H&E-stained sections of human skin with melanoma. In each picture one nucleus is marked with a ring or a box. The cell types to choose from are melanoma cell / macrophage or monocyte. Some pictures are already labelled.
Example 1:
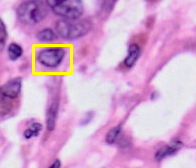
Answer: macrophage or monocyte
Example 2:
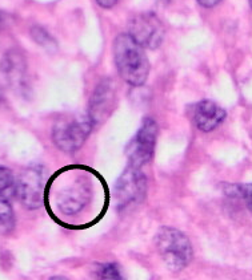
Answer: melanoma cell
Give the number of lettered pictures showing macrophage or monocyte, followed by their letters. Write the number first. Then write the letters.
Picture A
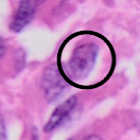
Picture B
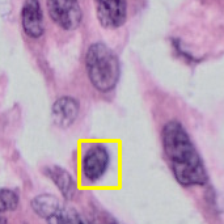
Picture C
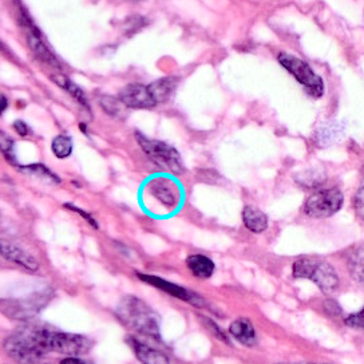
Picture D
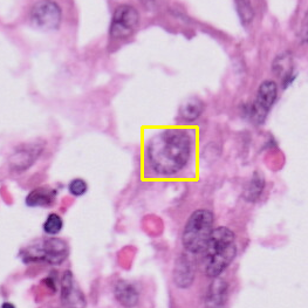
0, none of them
